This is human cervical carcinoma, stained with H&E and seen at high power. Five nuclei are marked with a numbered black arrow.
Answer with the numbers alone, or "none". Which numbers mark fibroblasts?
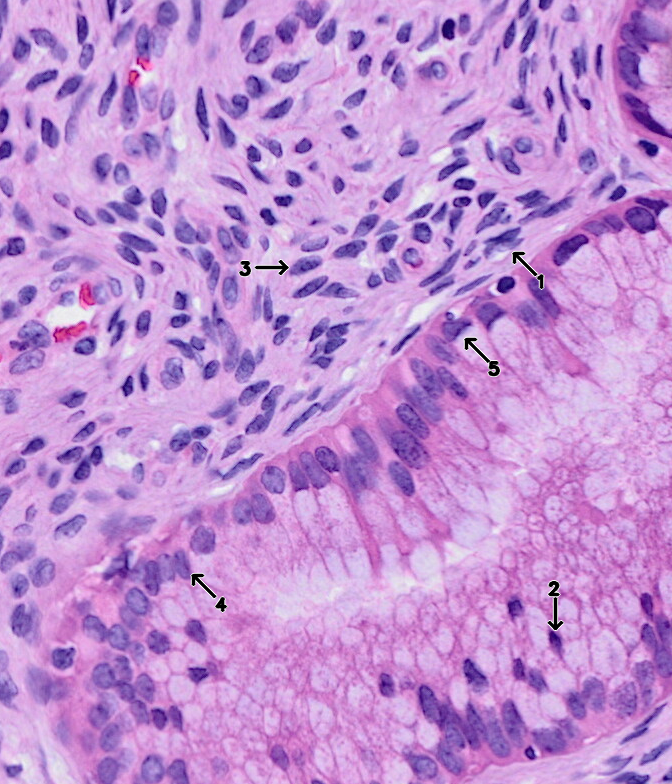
1, 3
